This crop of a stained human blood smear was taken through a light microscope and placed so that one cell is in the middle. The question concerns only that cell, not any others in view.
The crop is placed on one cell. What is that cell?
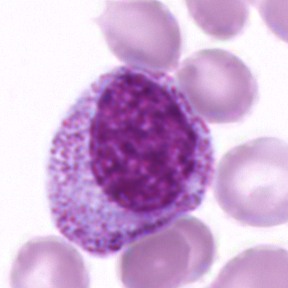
myelocyte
